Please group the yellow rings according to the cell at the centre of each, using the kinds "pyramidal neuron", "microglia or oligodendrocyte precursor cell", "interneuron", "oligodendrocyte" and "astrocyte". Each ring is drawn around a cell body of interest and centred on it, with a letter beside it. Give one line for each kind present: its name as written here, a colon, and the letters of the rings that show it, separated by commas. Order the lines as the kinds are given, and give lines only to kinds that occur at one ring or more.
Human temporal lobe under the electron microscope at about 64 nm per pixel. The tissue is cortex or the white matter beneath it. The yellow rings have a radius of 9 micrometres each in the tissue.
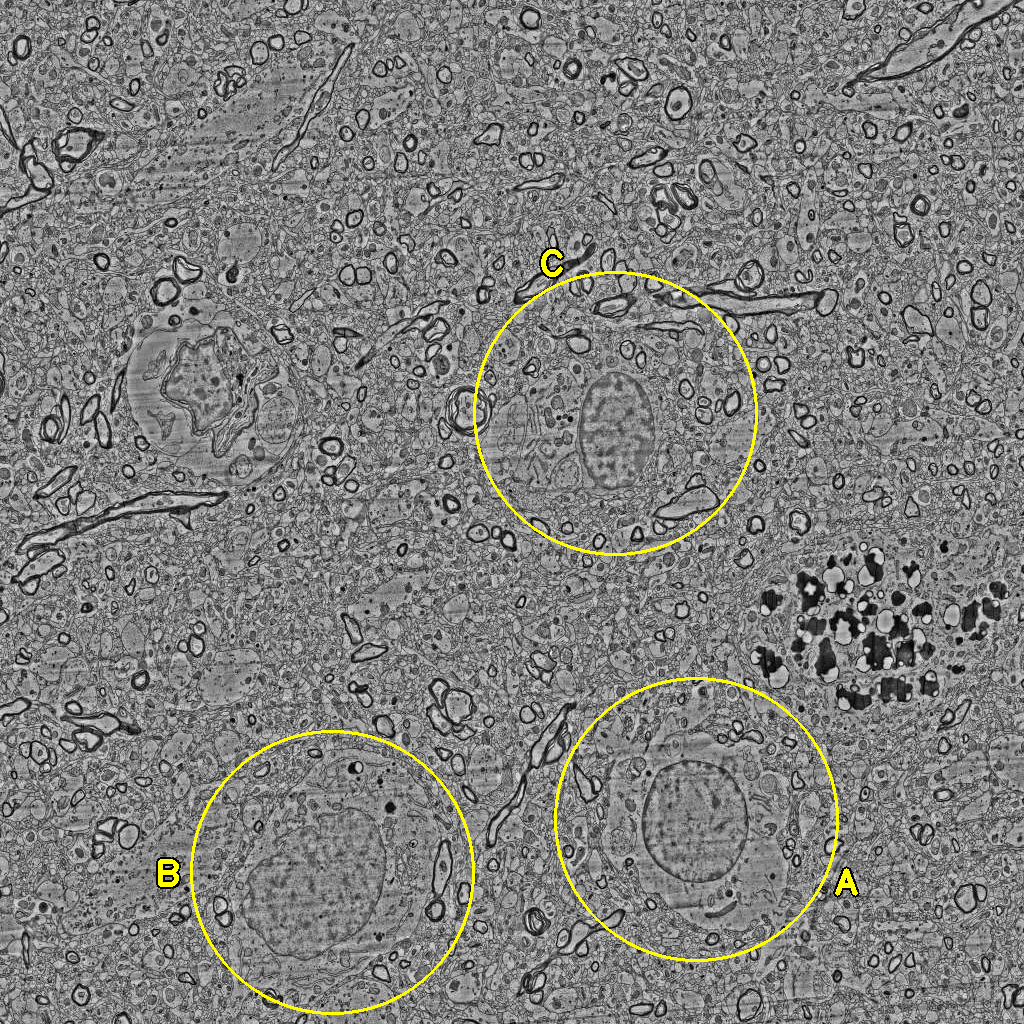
interneuron: B
oligodendrocyte: C
astrocyte: A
